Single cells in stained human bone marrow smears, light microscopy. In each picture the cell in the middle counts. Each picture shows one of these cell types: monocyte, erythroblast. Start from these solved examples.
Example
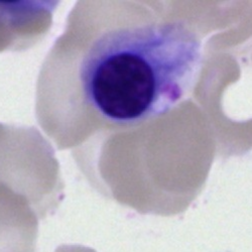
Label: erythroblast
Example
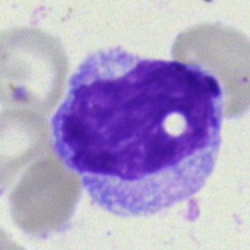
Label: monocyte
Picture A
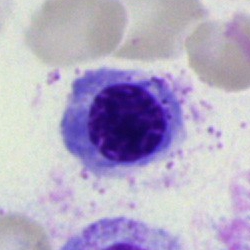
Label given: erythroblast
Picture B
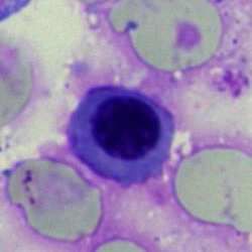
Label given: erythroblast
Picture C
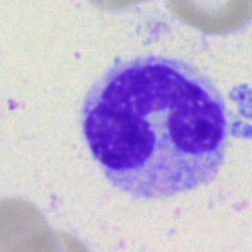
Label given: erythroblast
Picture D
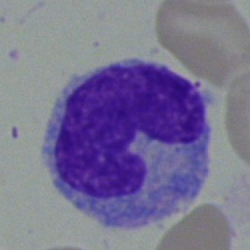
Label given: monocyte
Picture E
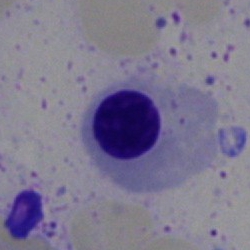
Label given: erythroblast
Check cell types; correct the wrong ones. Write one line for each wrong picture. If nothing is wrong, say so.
Wrong: C (erythroblast); correct: monocyte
